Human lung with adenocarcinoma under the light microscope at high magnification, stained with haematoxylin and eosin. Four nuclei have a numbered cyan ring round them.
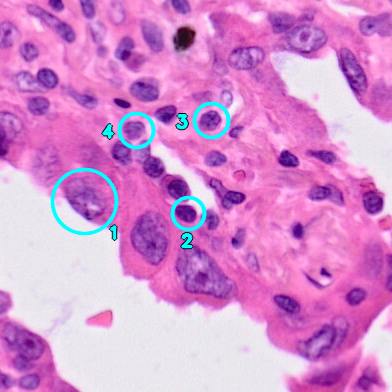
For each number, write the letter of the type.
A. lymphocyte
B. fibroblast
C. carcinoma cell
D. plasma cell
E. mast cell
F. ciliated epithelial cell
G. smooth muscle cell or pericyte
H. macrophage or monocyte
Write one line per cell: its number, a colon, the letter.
1: C
2: A
3: A
4: A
